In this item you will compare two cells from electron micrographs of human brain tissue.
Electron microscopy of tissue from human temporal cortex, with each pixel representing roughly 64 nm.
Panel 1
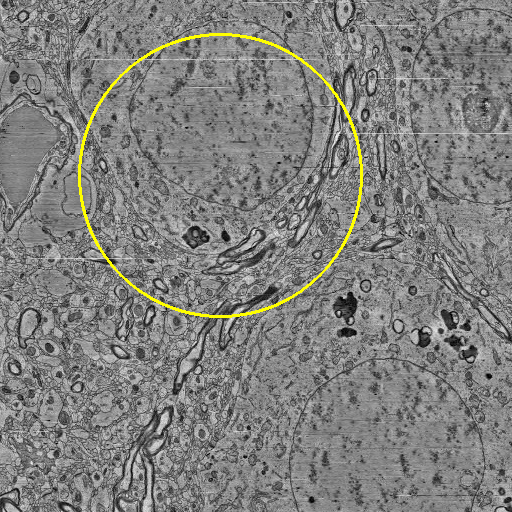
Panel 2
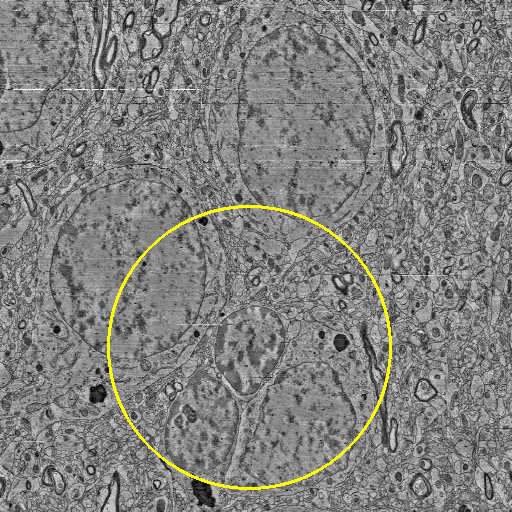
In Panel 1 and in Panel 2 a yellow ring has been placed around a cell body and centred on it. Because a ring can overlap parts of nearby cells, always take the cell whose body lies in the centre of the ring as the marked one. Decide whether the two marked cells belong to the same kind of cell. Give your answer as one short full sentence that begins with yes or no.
No, the two marked cells belong to two kinds of cell.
